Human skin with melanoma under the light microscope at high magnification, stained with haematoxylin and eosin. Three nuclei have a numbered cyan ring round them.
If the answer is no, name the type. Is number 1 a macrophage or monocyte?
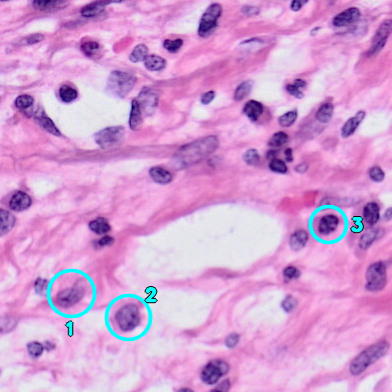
Yes.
